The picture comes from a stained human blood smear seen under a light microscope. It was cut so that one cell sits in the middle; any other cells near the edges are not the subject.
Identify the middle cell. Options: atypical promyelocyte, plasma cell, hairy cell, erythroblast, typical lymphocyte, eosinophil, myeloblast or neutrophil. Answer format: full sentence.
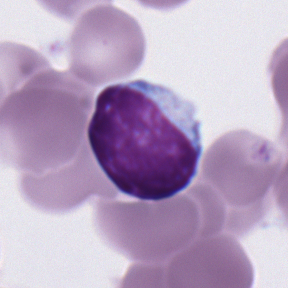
The cell marked by its central position in the crop is a typical lymphocyte.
